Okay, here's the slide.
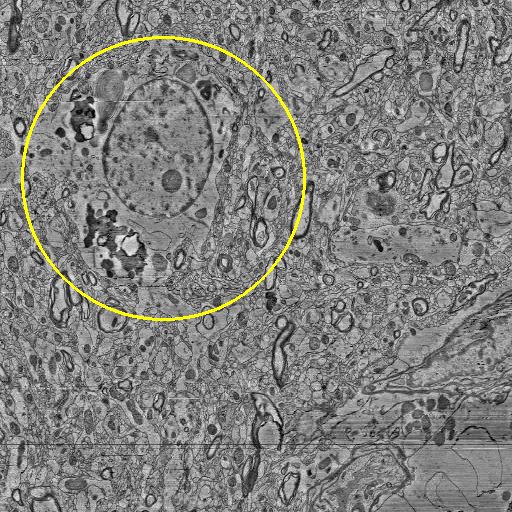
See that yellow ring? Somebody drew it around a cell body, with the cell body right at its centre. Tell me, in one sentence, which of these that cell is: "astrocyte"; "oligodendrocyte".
The cell in the middle of the ring is an astrocyte.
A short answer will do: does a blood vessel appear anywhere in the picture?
Yes, one shows.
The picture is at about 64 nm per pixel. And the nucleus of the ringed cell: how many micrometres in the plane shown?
The nucleus of the ringed cell is approximately 9 by 7 micrometres in this plane.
